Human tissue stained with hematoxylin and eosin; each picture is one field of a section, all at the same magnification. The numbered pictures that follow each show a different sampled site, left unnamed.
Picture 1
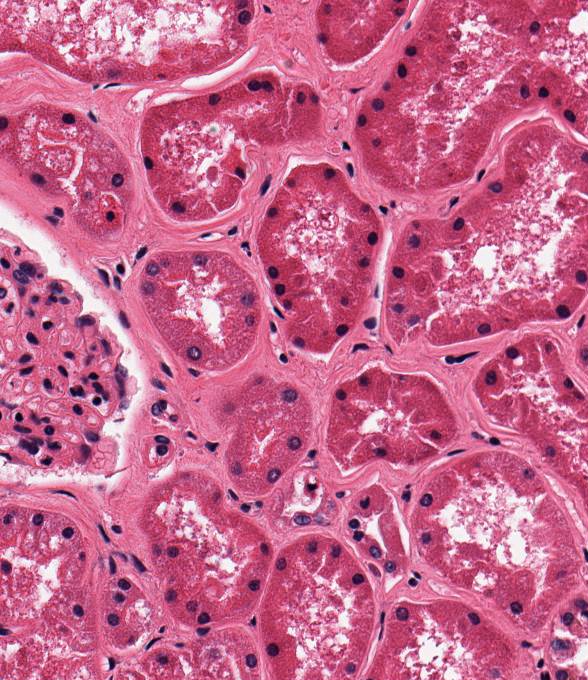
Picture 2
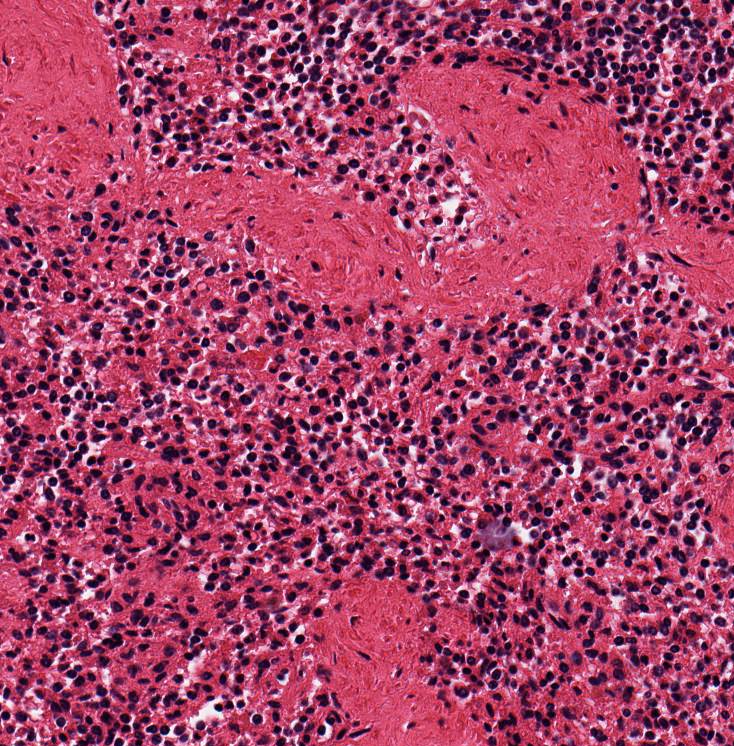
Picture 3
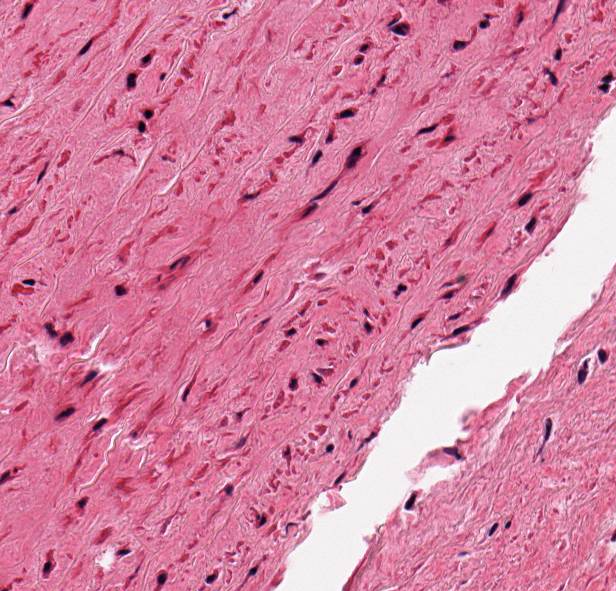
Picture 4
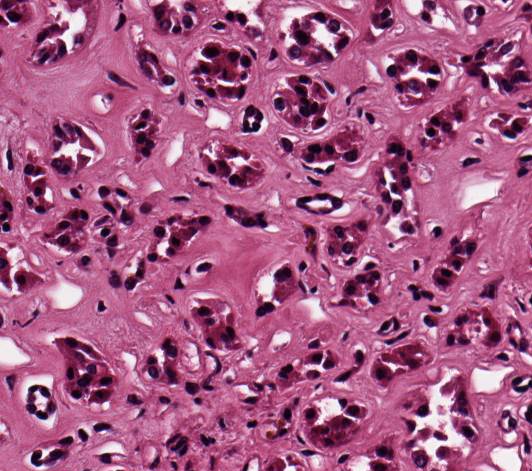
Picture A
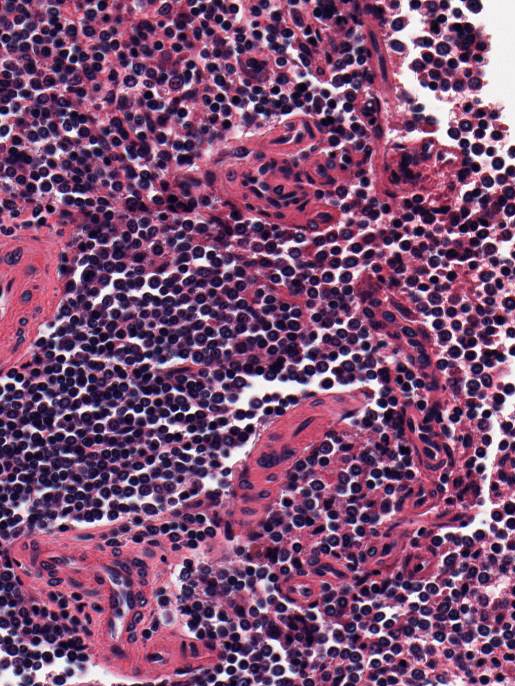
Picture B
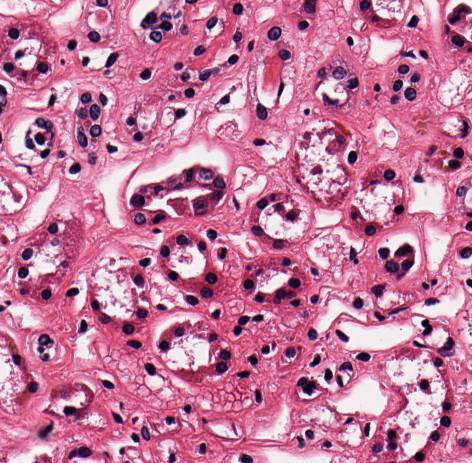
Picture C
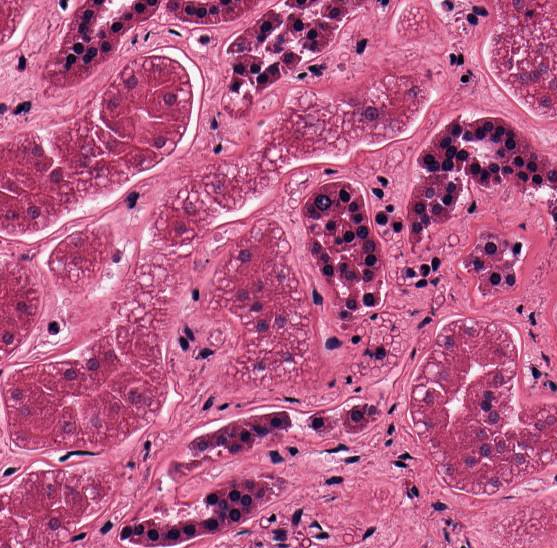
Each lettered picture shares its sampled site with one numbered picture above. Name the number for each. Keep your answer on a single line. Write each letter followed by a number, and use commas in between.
A 2, B 4, C 1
